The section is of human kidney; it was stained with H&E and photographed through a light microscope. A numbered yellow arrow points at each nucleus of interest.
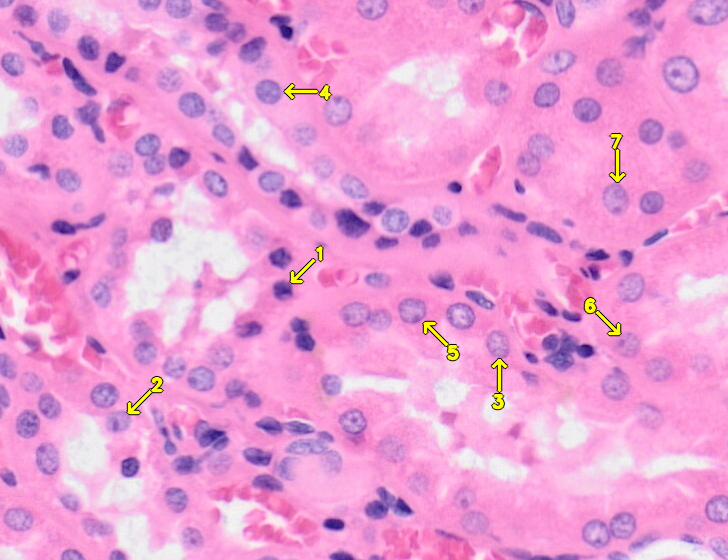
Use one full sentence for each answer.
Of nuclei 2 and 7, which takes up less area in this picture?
Nucleus 2 covers less area, with nucleus 7 about 1.5 times as large.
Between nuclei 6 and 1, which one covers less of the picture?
With nucleus 6 about 1.5 times its size, nucleus 1 is the smaller of the two.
